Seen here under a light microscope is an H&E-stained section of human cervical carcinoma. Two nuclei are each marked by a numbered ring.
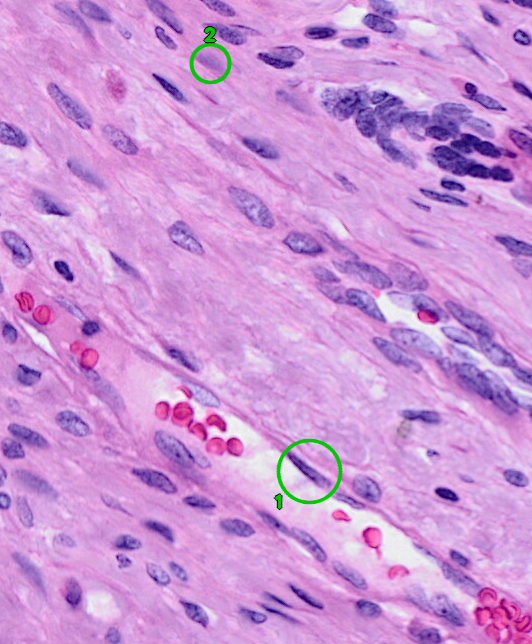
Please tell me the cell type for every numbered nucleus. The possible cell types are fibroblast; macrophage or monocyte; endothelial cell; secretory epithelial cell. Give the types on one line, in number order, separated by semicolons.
endothelial cell; fibroblast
